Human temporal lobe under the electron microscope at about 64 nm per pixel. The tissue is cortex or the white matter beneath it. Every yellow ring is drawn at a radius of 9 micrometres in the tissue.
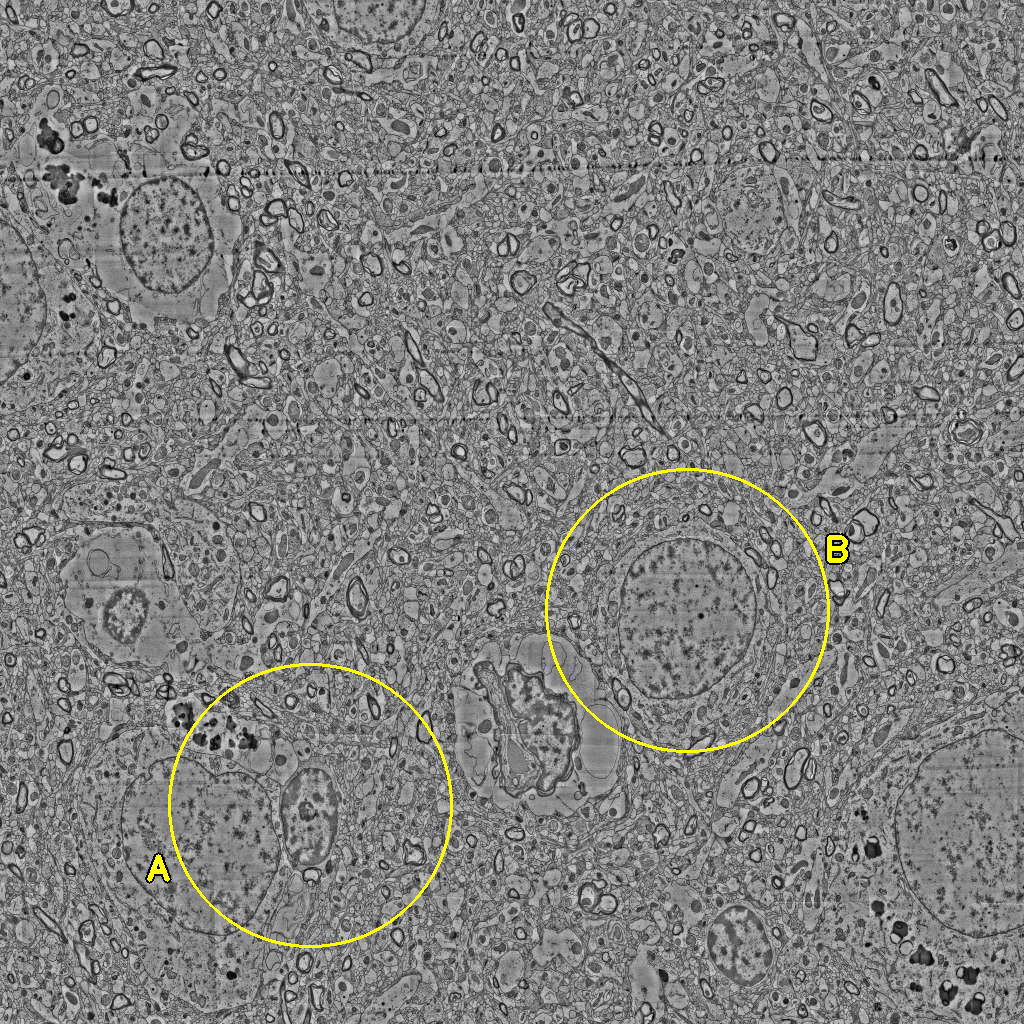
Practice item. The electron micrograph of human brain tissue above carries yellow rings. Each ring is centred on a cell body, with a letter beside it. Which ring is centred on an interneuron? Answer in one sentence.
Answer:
Ring B is centred on it.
